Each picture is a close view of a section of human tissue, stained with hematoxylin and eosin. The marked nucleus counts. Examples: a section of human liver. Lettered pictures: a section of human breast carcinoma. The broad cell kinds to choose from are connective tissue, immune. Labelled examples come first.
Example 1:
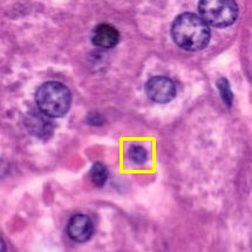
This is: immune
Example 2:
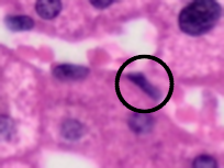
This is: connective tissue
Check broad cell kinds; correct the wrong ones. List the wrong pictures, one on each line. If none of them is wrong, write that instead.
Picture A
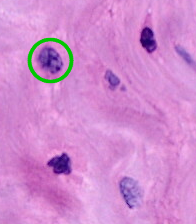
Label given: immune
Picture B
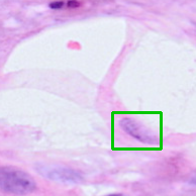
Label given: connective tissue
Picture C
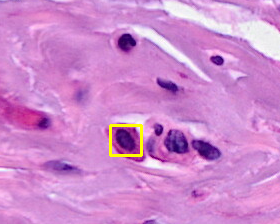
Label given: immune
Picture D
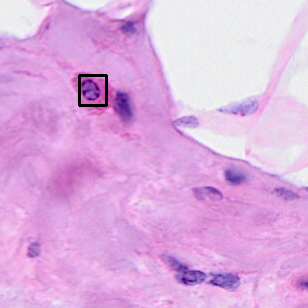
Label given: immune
All correct.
